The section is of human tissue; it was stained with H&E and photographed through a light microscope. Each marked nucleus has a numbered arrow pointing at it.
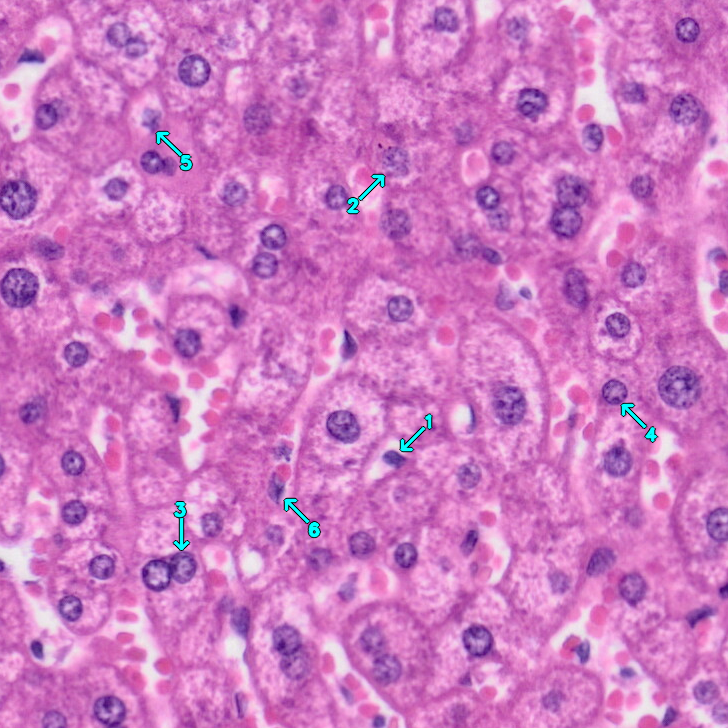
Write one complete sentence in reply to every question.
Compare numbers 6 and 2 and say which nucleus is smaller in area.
Number 6 is smaller, since number 2 takes up about 1.5 times as much area.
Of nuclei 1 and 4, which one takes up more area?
Nucleus 4 is the larger one, covering about 1.5 times the area of nucleus 1.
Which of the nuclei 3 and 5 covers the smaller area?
With nucleus 3 about 1.5 times its size, nucleus 5 is the smaller of the two.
